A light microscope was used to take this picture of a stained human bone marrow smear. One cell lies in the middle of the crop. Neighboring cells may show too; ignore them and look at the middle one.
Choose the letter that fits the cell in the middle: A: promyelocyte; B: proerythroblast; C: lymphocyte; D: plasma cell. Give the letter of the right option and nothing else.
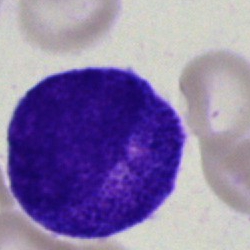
A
